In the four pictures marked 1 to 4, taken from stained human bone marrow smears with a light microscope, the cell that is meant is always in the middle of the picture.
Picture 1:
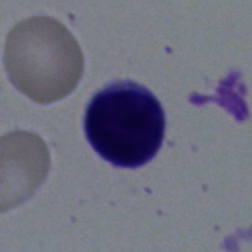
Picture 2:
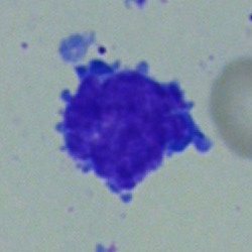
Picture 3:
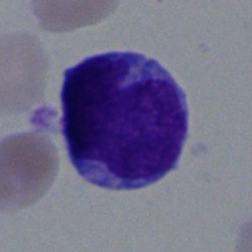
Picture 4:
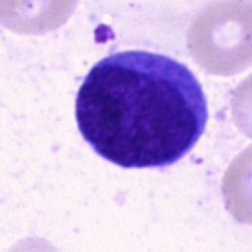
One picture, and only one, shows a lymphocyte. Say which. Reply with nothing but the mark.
1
